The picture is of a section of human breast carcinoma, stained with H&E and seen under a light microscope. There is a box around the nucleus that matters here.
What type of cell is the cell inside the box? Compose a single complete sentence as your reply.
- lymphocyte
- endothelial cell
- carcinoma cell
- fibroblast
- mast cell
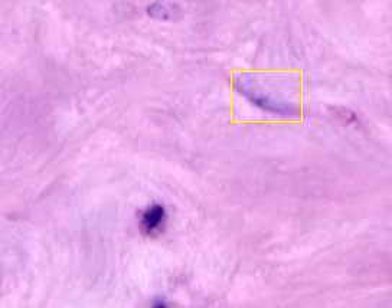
As a matter of cell type, the cell inside the box is a fibroblast.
